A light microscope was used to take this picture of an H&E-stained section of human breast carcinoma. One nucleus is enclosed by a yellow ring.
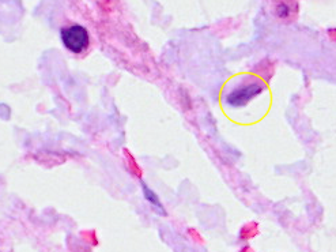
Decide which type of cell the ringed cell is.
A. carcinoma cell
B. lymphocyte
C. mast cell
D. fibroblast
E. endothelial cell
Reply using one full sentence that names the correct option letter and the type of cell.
Of the options offered, D is correct, as the ringed cell is a fibroblast.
